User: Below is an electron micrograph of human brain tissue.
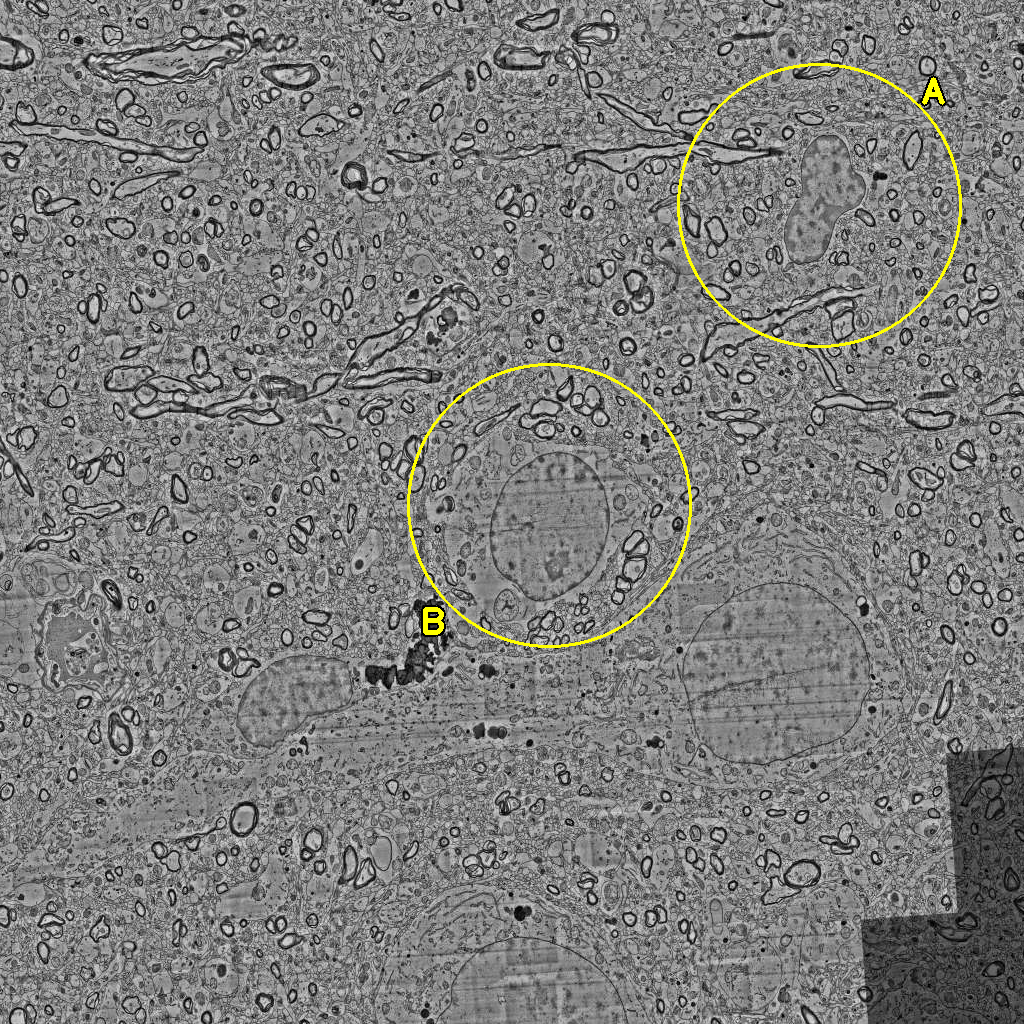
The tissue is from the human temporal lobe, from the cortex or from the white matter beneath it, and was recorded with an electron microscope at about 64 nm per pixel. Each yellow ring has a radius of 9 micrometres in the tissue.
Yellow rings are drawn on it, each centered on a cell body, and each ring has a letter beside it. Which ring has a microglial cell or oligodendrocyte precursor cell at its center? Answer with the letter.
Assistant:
A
